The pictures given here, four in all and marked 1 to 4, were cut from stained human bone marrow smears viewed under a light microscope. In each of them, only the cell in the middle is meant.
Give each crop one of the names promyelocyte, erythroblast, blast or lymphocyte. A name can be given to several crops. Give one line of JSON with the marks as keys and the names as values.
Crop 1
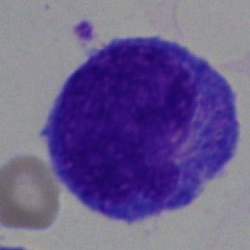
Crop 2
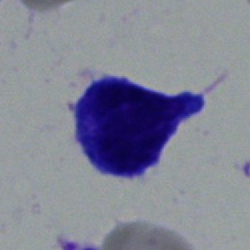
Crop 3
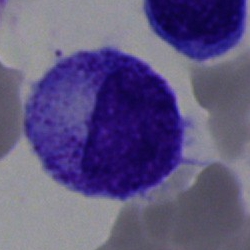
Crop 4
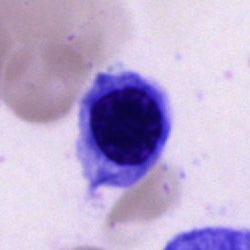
{"1": "promyelocyte", "2": "lymphocyte", "3": "promyelocyte", "4": "erythroblast"}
